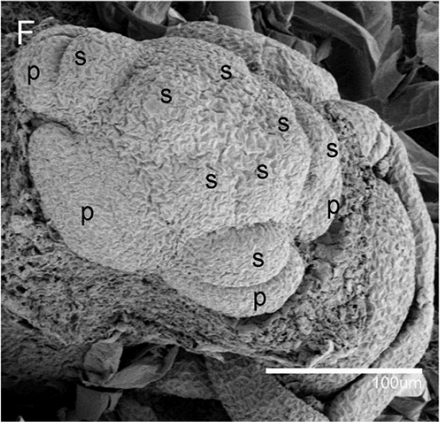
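Broad, flattened petal primordia form the outer ring of lobes. Inside them a crowded cluster of rounded, bulging stamen primordia is arranged in more than one ring around the centre. All surfaces have a rough, finely wrinkled texture formed by many small epidermal cells. The primordia overlap one another closely, giving the centre a lobed, cushion-like appearance.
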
